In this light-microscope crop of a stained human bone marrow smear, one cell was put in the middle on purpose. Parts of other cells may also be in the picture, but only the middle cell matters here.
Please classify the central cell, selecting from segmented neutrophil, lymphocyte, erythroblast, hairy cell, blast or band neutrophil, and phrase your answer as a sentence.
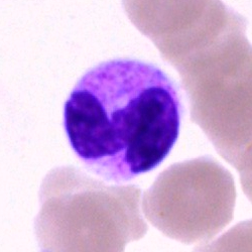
This crop's central cell is a segmented neutrophil.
